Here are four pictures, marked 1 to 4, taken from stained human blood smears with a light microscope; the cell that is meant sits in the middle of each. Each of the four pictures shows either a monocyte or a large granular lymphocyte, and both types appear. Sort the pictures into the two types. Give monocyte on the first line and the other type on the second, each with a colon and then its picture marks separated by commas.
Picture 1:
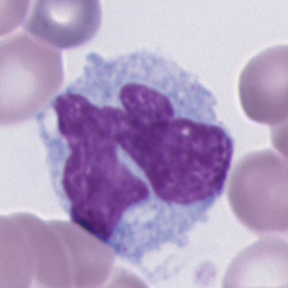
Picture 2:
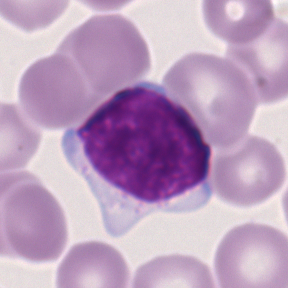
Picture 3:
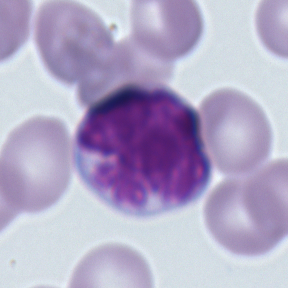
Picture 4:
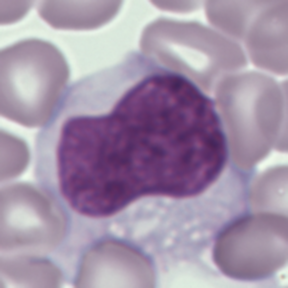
monocyte: 1, 4
large granular lymphocyte: 2, 3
